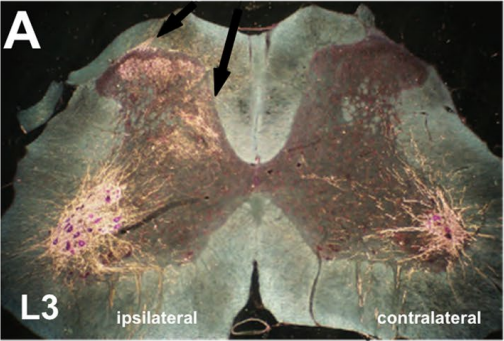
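This is a transverse section of spinal cord in darkfield, with labeled motoneurons in the ventral horns of both sides. The butterfly-shaped grey matter appears dark reddish, surrounded by pale silvery white matter, with the central midline fissures visible. In the lower lateral grey matter on each side a cluster of large, purple-stained cell bodies sits among a dense halo of bright golden fibres. These fibres, the labeled dendrites, radiate widely from the clusters into the grey matter and out into the neighbouring white matter. Finer golden labeling is also visible toward the upper grey matter on the left side, where arrows point.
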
